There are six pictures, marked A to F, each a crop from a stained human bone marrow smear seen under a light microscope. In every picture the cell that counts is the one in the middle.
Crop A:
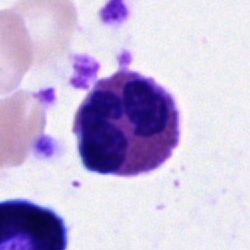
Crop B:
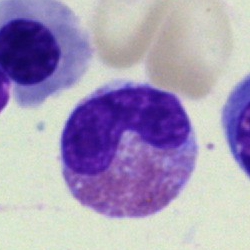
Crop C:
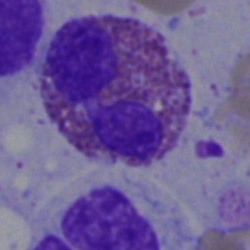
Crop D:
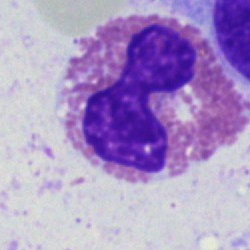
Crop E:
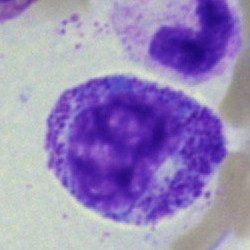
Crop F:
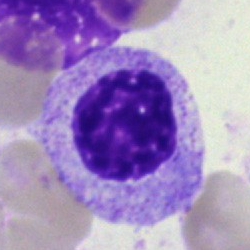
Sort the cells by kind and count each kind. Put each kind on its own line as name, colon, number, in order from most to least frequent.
eosinophil: 4
myelocyte: 2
